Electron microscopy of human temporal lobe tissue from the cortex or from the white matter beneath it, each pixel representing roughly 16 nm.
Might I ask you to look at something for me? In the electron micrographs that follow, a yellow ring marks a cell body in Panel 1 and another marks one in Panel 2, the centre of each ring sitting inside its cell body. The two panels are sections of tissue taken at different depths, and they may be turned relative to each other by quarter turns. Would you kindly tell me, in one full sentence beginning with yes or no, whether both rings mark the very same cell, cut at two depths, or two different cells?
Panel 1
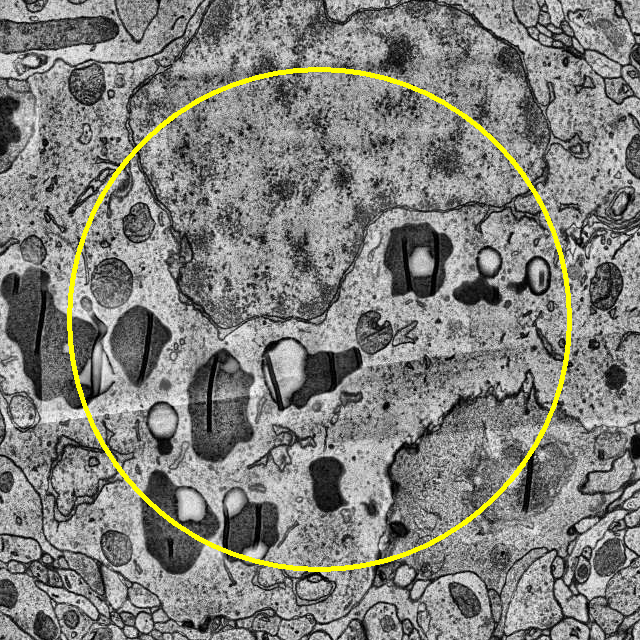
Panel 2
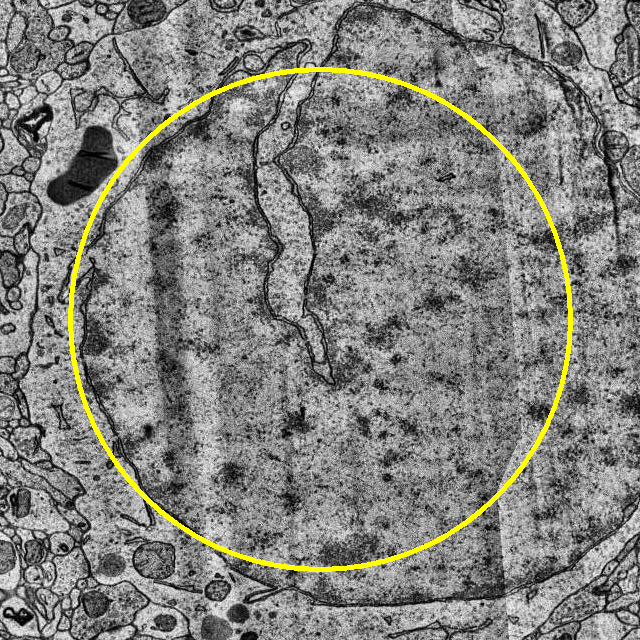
Yes, one cell is ringed in yellow twice over.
